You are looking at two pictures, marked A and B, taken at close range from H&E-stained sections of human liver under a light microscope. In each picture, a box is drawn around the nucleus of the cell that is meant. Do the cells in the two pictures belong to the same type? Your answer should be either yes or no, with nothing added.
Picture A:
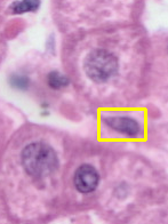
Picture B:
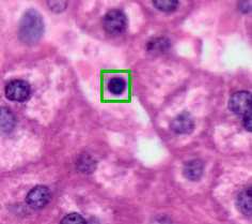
no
